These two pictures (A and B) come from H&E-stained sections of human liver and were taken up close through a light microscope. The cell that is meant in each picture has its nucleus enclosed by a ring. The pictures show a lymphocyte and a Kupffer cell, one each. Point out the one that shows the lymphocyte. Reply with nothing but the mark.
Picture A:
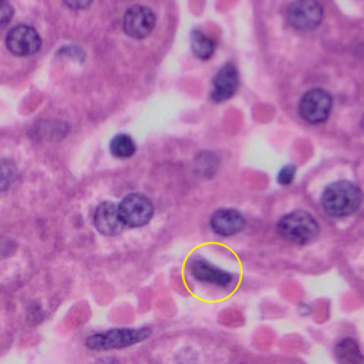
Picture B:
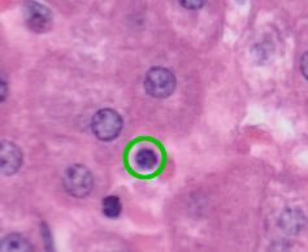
B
